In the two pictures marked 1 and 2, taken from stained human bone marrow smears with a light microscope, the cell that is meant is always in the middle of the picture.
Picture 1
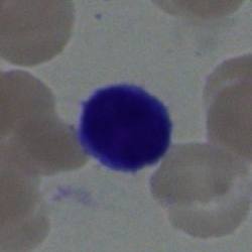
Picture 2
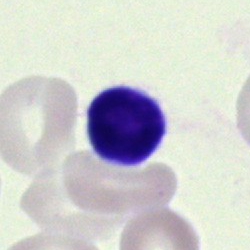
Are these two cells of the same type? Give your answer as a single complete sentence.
Yes, both cells are lymphocytes.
